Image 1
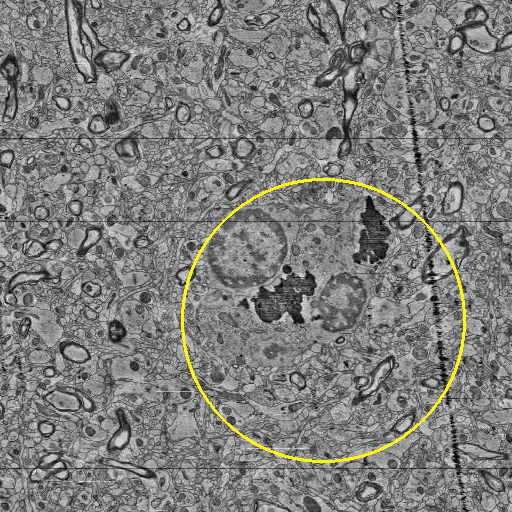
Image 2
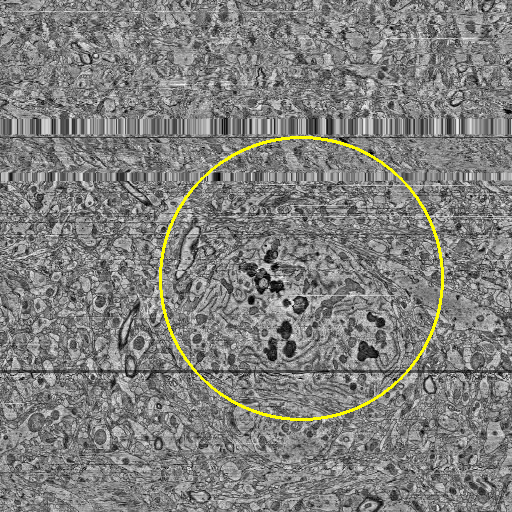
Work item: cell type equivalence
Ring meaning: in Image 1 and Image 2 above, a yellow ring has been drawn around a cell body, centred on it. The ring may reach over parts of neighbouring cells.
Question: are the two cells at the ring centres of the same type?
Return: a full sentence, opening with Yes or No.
No, the two centred cells are of two types.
